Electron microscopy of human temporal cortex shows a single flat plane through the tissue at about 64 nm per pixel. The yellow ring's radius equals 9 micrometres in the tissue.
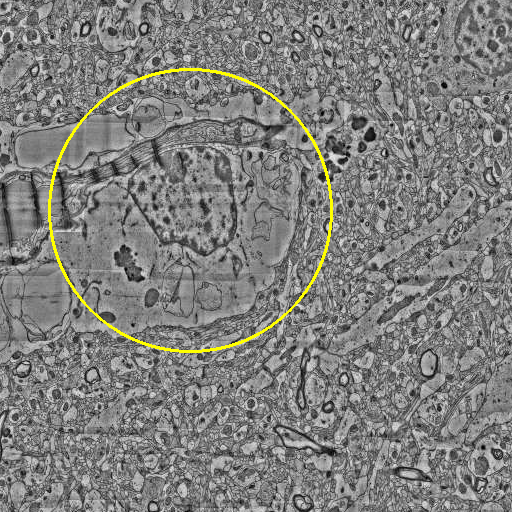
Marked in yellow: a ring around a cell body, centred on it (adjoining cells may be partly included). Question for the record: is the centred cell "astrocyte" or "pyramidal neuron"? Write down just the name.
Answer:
astrocyte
